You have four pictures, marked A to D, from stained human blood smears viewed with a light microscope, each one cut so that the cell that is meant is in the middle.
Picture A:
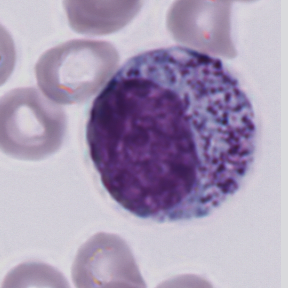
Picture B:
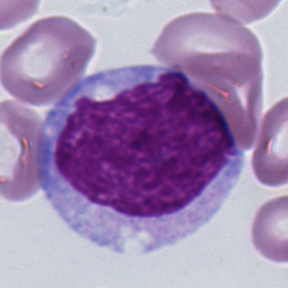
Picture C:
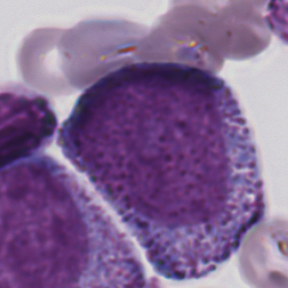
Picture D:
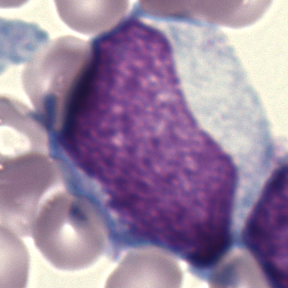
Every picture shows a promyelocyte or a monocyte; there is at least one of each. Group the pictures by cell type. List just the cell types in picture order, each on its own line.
promyelocyte
monocyte
promyelocyte
promyelocyte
